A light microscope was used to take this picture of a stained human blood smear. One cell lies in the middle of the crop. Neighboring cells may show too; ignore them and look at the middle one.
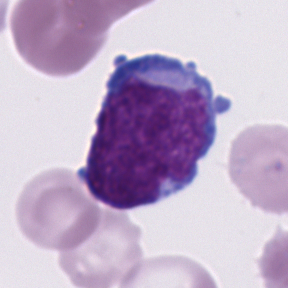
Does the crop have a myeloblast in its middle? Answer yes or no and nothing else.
yes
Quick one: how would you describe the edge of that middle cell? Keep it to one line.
The perimeter of the cell is irregular, with ragged sections or outward projections.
